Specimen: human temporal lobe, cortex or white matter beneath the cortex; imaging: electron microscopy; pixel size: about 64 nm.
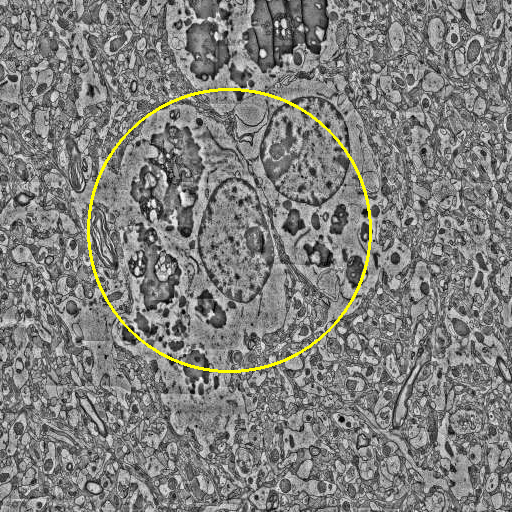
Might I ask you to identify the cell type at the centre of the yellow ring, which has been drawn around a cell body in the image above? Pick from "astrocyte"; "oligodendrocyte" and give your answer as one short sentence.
The centre of the ring falls on an astrocyte.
